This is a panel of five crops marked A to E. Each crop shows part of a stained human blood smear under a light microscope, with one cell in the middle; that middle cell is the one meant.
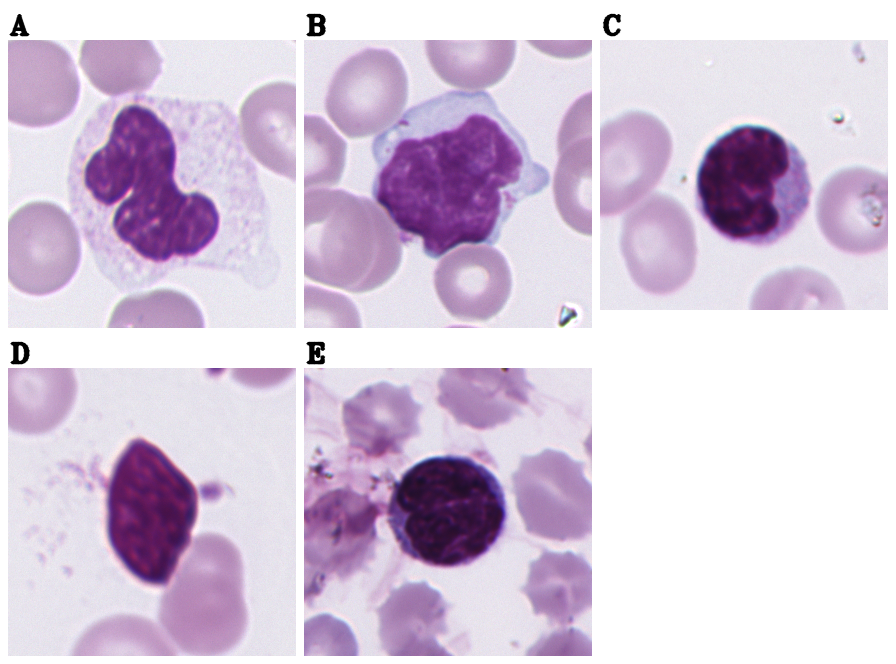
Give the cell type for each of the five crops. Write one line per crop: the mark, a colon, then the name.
A: band neutrophil
B: large granular lymphocyte
C: large granular lymphocyte
D: smudge cell
E: normoblast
